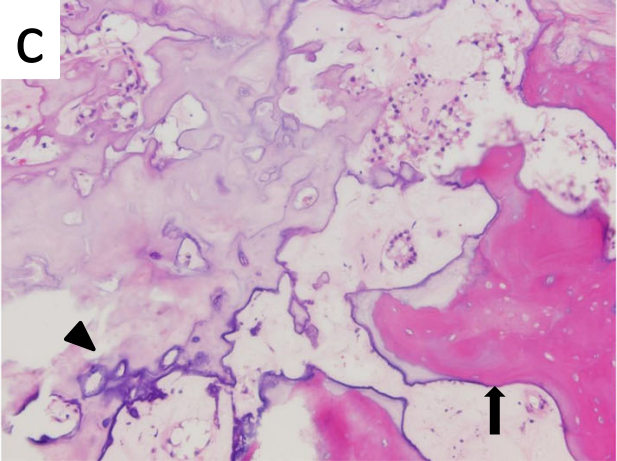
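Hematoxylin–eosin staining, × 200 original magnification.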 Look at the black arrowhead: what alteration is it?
Calcification.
